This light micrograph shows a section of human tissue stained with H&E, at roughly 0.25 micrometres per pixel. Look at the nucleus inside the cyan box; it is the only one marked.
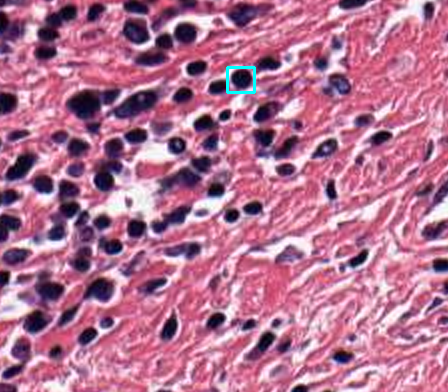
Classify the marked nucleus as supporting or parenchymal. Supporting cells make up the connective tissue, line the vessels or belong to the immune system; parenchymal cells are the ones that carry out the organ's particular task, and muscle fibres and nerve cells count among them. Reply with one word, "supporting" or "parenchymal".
supporting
